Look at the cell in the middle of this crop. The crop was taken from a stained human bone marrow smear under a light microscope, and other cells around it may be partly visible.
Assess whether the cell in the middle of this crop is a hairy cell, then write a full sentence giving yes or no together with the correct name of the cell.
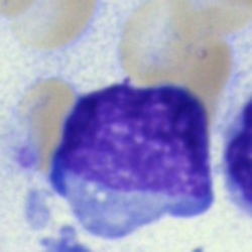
No, the central cell qualifies as a blast rather than as a hairy cell.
